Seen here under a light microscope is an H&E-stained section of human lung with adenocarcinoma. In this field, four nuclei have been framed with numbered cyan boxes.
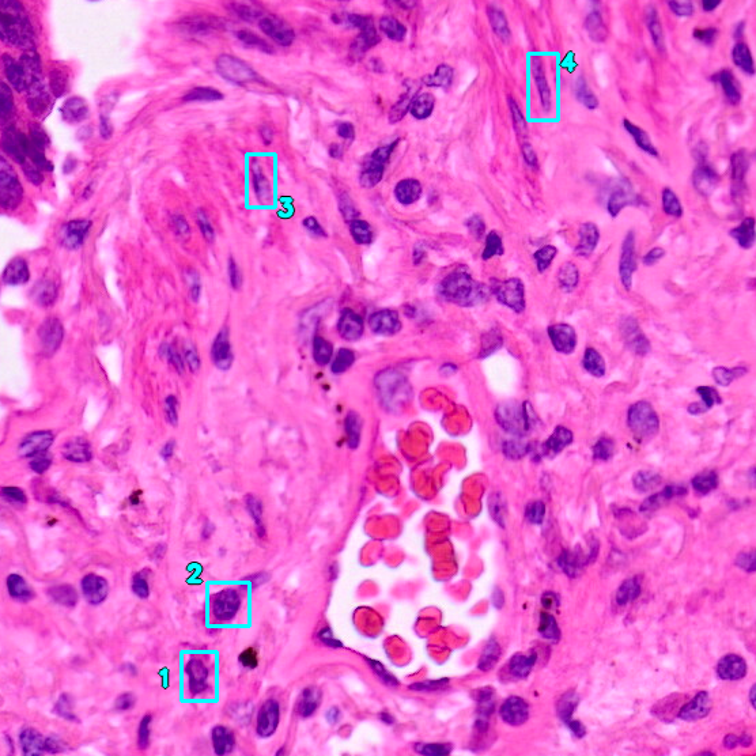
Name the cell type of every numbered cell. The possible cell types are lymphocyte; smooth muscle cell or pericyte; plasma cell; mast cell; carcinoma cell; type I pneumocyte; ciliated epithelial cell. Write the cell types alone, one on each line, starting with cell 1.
plasma cell
plasma cell
smooth muscle cell or pericyte
smooth muscle cell or pericyte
